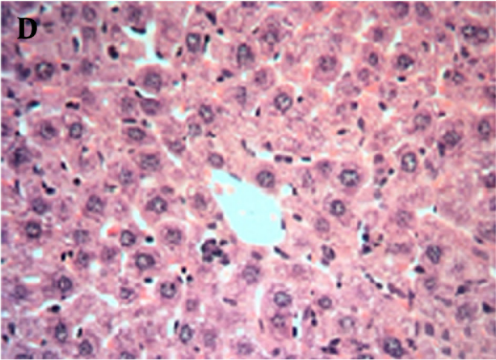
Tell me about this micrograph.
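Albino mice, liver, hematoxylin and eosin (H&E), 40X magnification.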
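Hepatic parenchyma is shown, composed of closely packed hepatocytes with a small vessel lumen near the centre. The hepatocytes are polygonal with pink to violet cytoplasm and round nuclei, each with a clear nuclear membrane and a dark nucleolus. Cords of hepatocytes are separated by slender clear sinusoidal spaces, beside which lie small, dense, elongated nuclei of lining cells.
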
